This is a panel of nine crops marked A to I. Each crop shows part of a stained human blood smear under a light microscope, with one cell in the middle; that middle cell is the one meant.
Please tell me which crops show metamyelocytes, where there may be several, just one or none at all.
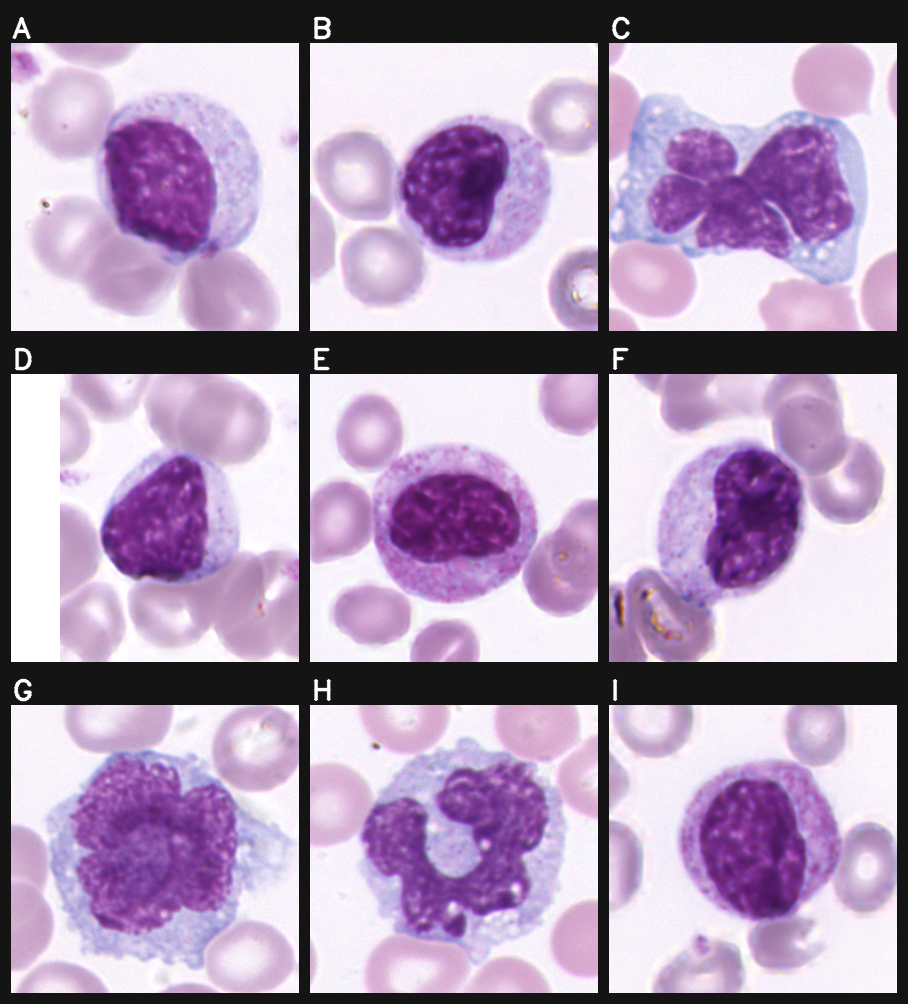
B, D, E, F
